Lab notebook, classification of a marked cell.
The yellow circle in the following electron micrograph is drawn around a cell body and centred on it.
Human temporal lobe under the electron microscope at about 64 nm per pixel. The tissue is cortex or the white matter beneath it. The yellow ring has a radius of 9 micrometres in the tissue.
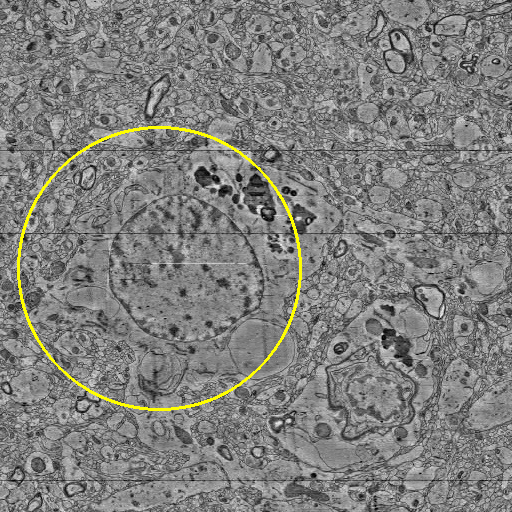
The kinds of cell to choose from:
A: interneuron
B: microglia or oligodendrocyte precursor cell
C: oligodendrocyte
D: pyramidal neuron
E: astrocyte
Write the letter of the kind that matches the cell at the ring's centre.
E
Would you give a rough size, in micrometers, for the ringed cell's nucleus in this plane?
In this plane, approximately 10 micrometres across.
